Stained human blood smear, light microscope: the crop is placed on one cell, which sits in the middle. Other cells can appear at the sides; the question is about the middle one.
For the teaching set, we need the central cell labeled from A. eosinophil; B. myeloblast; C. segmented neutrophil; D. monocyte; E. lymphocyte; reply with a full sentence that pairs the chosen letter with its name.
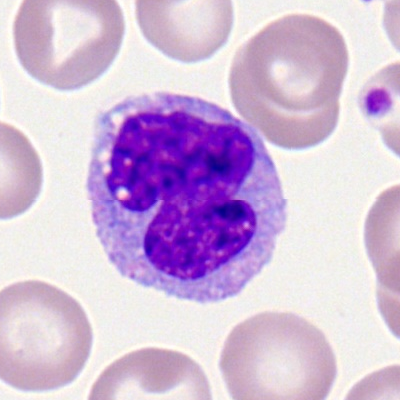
The correct option is D, as the central cell is a monocyte.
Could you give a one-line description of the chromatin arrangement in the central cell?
Heads up, the chromatin is fine with no coarse clumps in it.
